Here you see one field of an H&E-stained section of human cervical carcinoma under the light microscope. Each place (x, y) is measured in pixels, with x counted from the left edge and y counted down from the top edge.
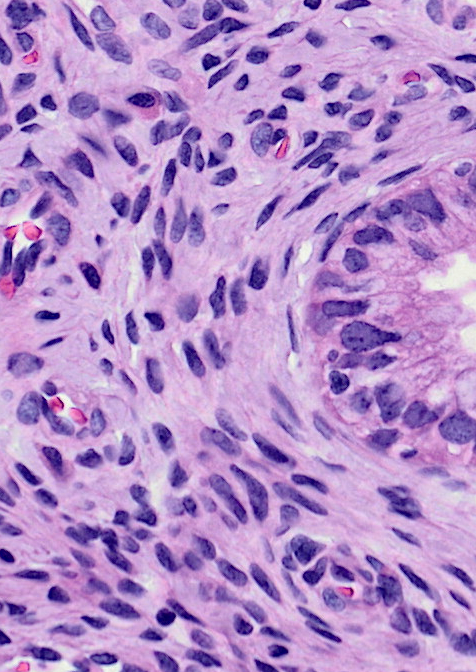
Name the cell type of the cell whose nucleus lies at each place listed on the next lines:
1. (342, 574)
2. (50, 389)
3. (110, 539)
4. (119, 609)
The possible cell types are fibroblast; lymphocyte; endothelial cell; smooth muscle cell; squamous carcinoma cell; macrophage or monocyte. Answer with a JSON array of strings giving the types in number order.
["endothelial cell", "endothelial cell", "fibroblast", "fibroblast"]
